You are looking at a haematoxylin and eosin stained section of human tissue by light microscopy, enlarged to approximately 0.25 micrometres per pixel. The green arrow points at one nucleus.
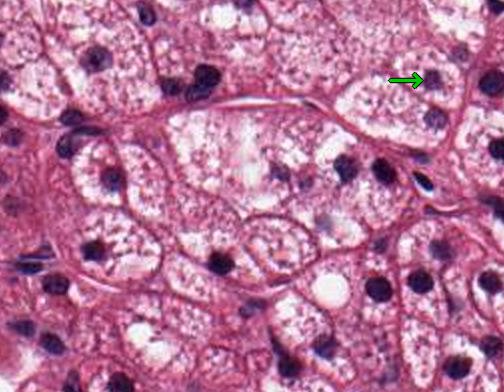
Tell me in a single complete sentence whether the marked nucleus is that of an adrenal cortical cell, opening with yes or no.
Yes, the cell containing the marked nucleus is an adrenal cortical cell.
